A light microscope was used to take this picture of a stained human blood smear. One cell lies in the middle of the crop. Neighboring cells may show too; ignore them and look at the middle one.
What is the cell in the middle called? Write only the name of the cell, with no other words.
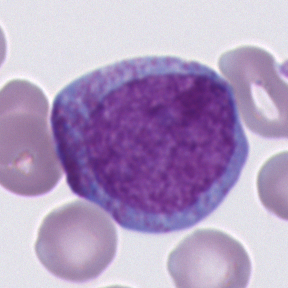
promyelocyte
